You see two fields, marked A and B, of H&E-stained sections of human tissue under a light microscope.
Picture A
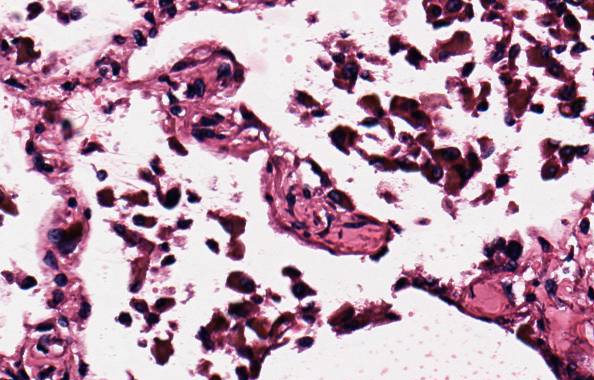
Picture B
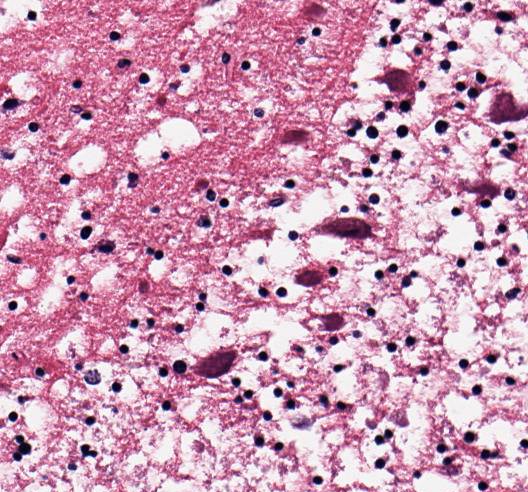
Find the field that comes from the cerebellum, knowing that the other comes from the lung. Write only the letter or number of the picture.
B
